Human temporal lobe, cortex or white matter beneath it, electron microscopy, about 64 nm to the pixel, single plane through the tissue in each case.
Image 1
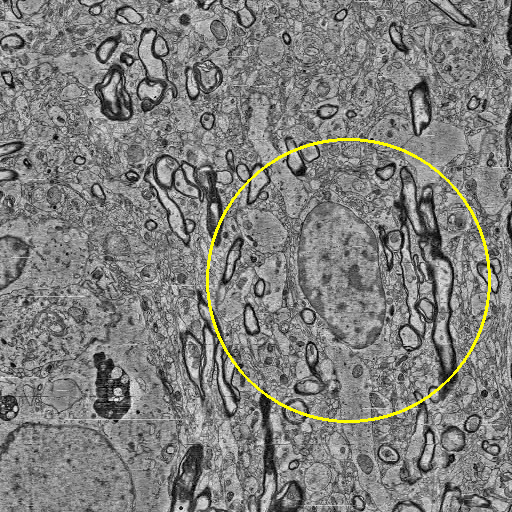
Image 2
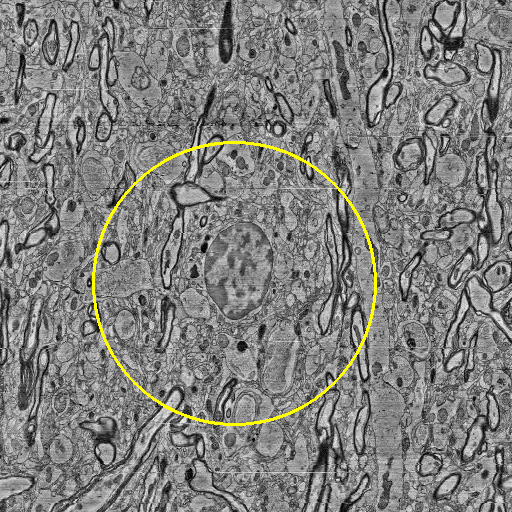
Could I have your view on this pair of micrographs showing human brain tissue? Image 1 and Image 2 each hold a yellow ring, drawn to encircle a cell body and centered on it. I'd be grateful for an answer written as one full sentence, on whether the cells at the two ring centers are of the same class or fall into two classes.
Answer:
The cells at the centers of the two rings are of the same class.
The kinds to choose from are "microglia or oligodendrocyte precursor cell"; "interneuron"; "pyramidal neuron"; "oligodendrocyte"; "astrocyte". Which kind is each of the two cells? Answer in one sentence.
In the first picture and in the second, the ring is centred on a microglial cell or oligodendrocyte precursor cell.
